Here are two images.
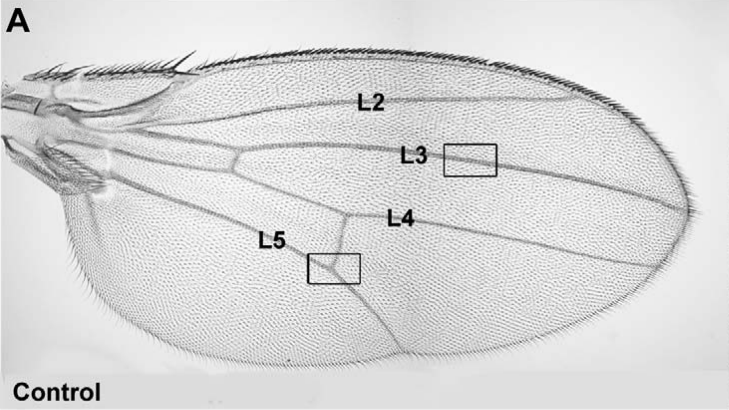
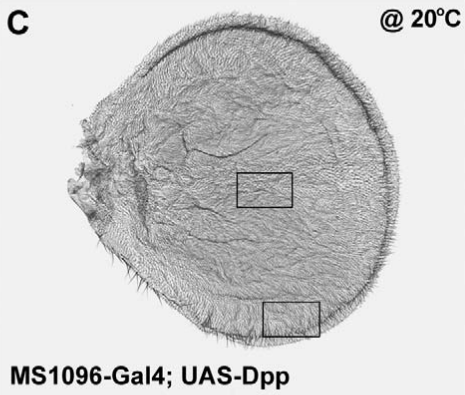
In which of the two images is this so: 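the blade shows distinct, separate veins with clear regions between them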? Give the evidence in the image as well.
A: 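Second image: a rounded blade with no clearly separated longitudinal veins and a dense, disordered hair pattern. First image: several thin dark veins run along the blade with lighter regions between them. So: the first image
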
